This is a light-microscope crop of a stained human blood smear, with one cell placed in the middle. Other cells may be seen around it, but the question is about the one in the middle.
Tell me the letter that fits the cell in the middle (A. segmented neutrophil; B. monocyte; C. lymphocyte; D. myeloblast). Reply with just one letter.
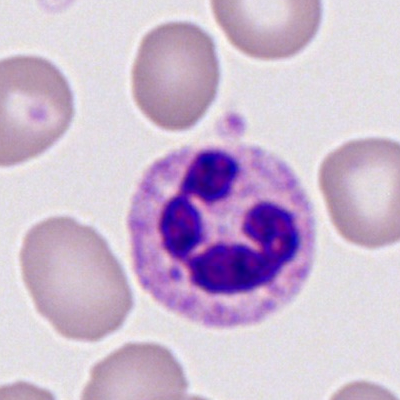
A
